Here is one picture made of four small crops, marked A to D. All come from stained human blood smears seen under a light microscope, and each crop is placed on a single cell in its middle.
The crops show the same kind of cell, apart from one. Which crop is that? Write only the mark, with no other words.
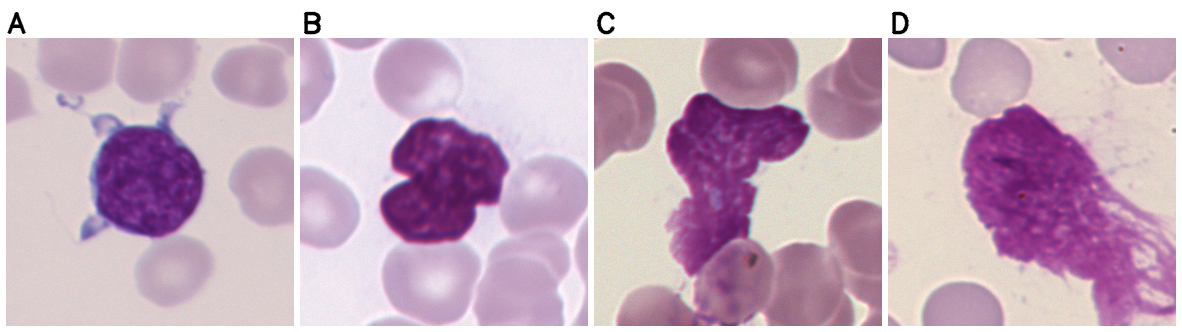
A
